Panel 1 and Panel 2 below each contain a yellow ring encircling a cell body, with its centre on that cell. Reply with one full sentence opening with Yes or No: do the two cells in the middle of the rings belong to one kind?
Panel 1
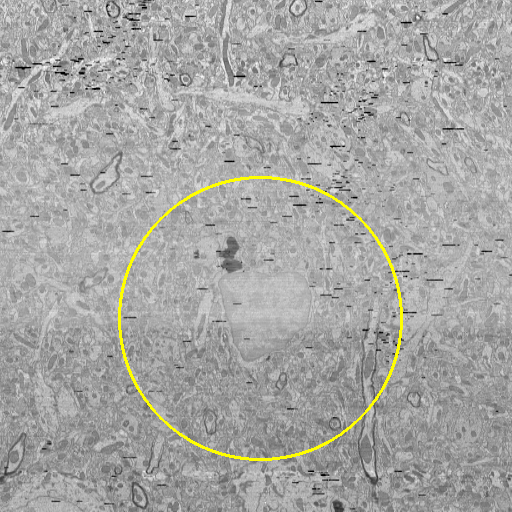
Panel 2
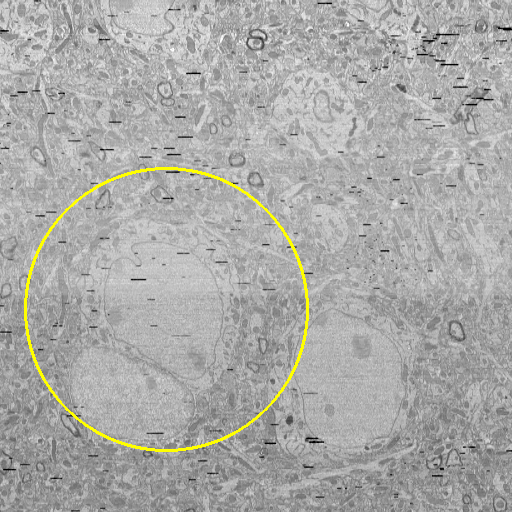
No, the cells at the middle of the Panel 1 ring and the Panel 2 ring are of two kinds.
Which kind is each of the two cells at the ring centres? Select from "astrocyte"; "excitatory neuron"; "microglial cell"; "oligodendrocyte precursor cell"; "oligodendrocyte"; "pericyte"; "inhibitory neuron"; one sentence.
The cell at the centre of the ring is a microglial cell in the first picture and an excitatory neuron in the second.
